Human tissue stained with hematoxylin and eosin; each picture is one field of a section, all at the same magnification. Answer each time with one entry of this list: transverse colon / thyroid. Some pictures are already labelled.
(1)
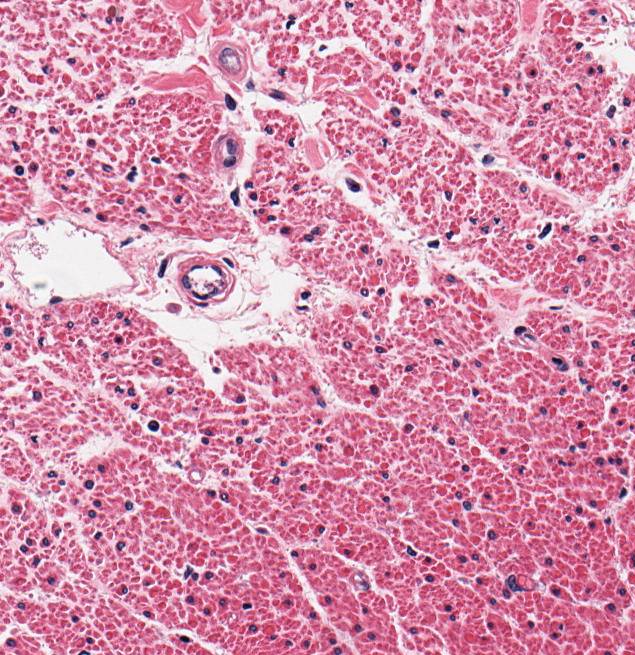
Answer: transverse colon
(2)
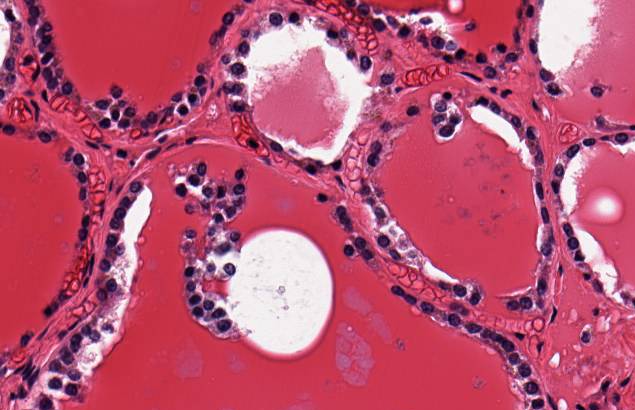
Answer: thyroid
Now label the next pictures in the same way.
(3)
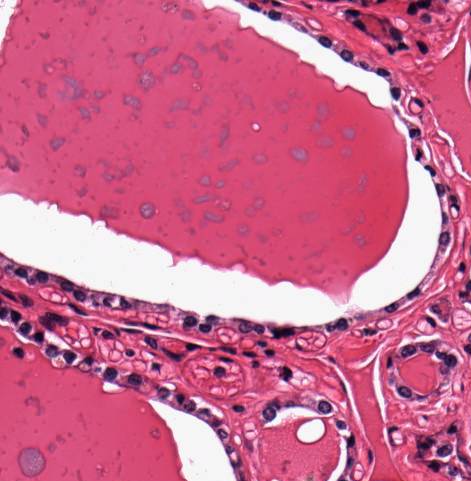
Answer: thyroid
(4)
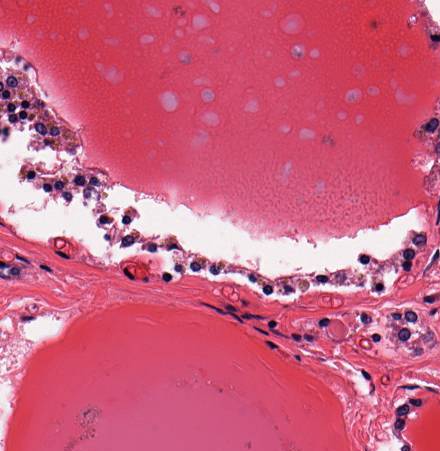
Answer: thyroid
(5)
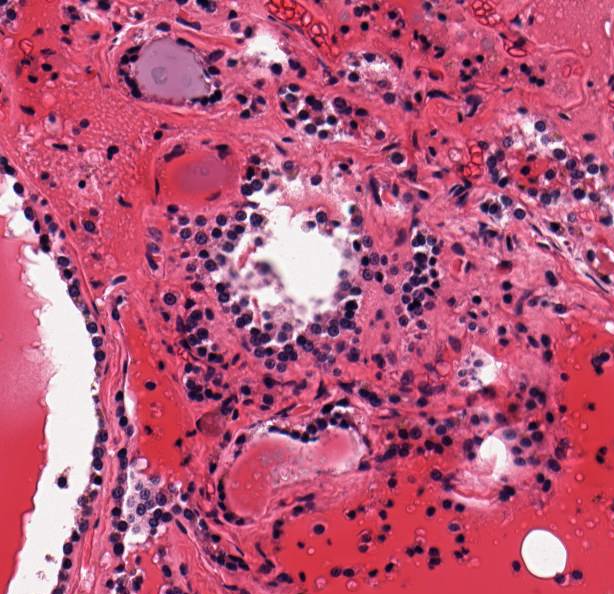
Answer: thyroid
